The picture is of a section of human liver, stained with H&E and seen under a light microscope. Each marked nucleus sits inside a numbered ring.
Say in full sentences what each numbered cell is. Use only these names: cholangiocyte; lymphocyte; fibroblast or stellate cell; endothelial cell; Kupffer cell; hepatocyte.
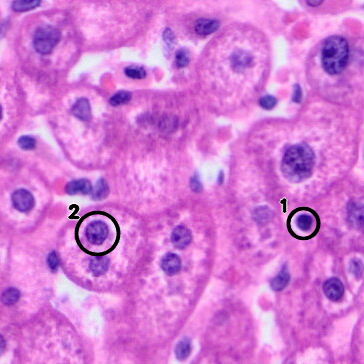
Cell 1 is a lymphocyte and cell 2 is a hepatocyte.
